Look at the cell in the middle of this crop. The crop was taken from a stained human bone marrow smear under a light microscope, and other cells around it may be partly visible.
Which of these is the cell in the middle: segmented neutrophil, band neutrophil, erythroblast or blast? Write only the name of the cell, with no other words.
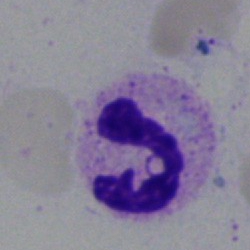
segmented neutrophil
